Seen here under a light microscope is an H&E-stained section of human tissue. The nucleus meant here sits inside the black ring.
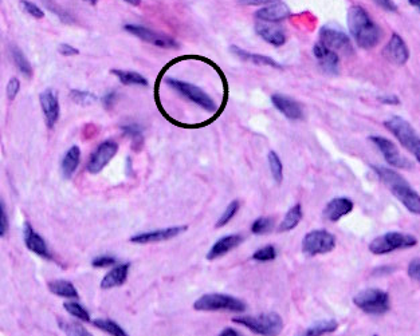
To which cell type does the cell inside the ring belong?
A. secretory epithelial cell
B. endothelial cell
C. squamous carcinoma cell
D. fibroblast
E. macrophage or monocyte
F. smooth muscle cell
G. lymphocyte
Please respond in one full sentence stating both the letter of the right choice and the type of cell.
Right answer, option D: the cell inside the ring is a fibroblast.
